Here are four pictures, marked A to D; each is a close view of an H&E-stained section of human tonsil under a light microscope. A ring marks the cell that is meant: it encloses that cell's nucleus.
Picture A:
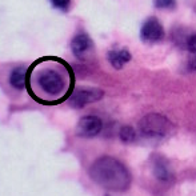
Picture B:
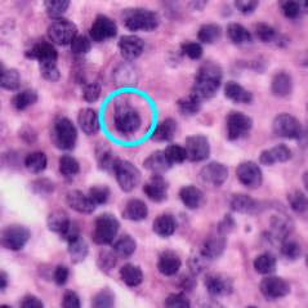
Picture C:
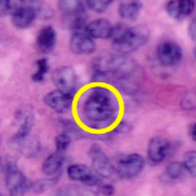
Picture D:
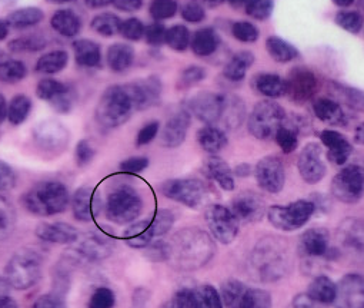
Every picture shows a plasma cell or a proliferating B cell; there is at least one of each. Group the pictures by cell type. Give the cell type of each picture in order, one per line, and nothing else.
plasma cell
proliferating B cell
proliferating B cell
proliferating B cell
